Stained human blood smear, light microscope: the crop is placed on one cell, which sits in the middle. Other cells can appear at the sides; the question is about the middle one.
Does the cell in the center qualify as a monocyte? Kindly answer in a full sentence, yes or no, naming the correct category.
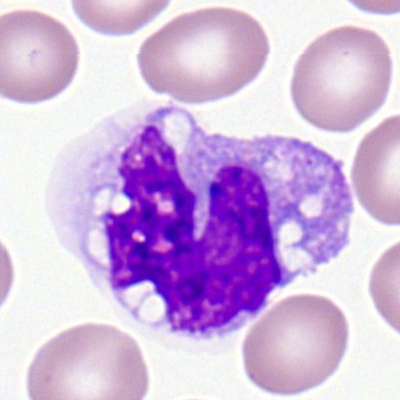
Yes, a monocyte is the cell positioned in the middle of the field.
